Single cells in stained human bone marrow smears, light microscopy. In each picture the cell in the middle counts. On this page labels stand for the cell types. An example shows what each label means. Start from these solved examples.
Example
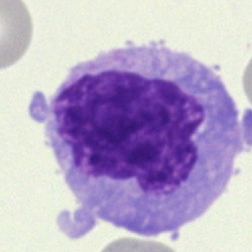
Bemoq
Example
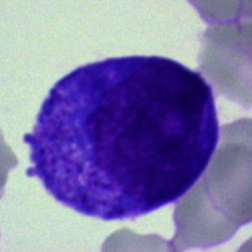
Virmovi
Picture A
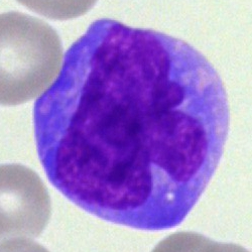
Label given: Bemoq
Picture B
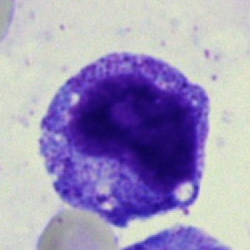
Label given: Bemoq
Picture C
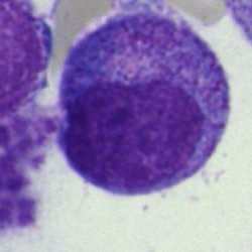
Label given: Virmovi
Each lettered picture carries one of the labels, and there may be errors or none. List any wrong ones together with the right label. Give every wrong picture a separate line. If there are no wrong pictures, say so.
B should be Virmovi, not Bemoq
